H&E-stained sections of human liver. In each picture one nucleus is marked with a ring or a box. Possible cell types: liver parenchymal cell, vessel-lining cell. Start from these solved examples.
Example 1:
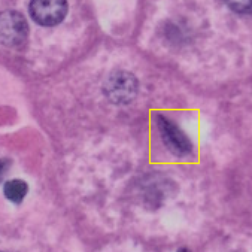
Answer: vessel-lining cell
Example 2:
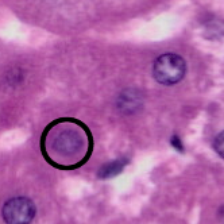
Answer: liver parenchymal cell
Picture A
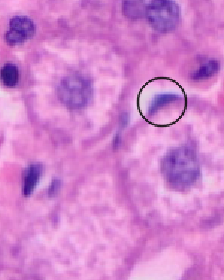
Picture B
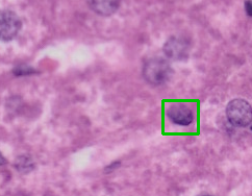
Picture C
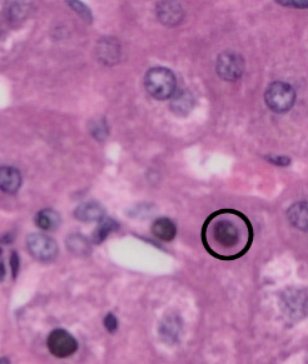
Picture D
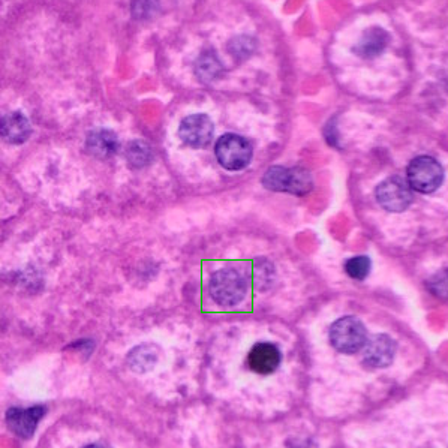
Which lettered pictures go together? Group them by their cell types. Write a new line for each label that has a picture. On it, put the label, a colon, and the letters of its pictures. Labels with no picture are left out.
liver parenchymal cell: C, D
vessel-lining cell: A, B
